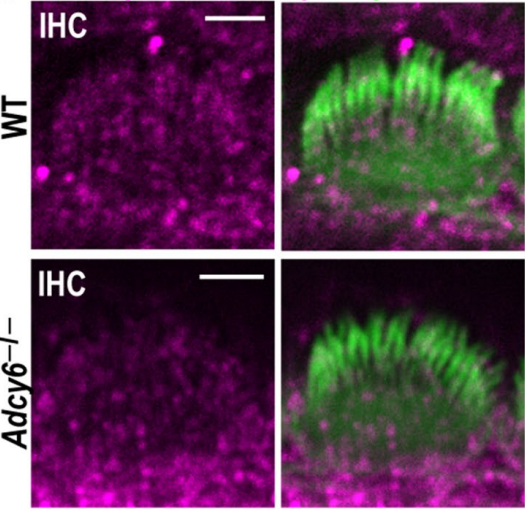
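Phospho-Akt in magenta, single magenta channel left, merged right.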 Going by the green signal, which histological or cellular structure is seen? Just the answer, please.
Stereociliary bundle.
